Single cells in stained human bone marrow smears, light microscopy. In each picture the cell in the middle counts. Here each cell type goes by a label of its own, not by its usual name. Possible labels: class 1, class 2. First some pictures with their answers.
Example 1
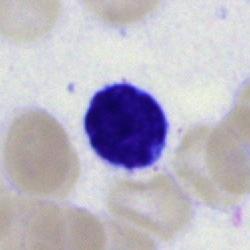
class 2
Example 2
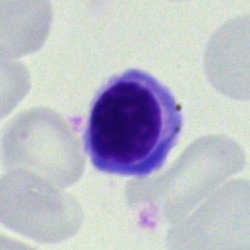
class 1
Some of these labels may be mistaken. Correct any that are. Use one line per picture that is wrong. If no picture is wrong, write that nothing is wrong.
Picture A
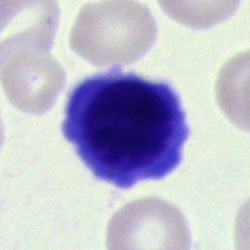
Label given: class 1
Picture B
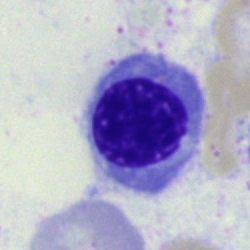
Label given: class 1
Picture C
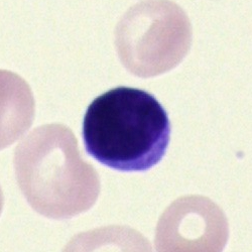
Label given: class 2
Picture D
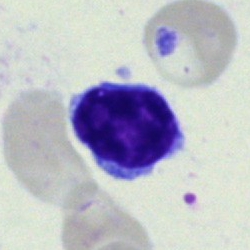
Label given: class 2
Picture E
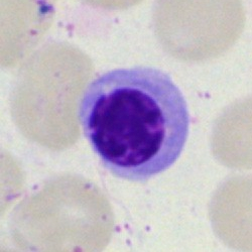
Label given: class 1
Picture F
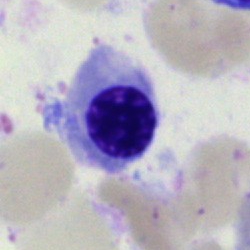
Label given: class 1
All correct.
